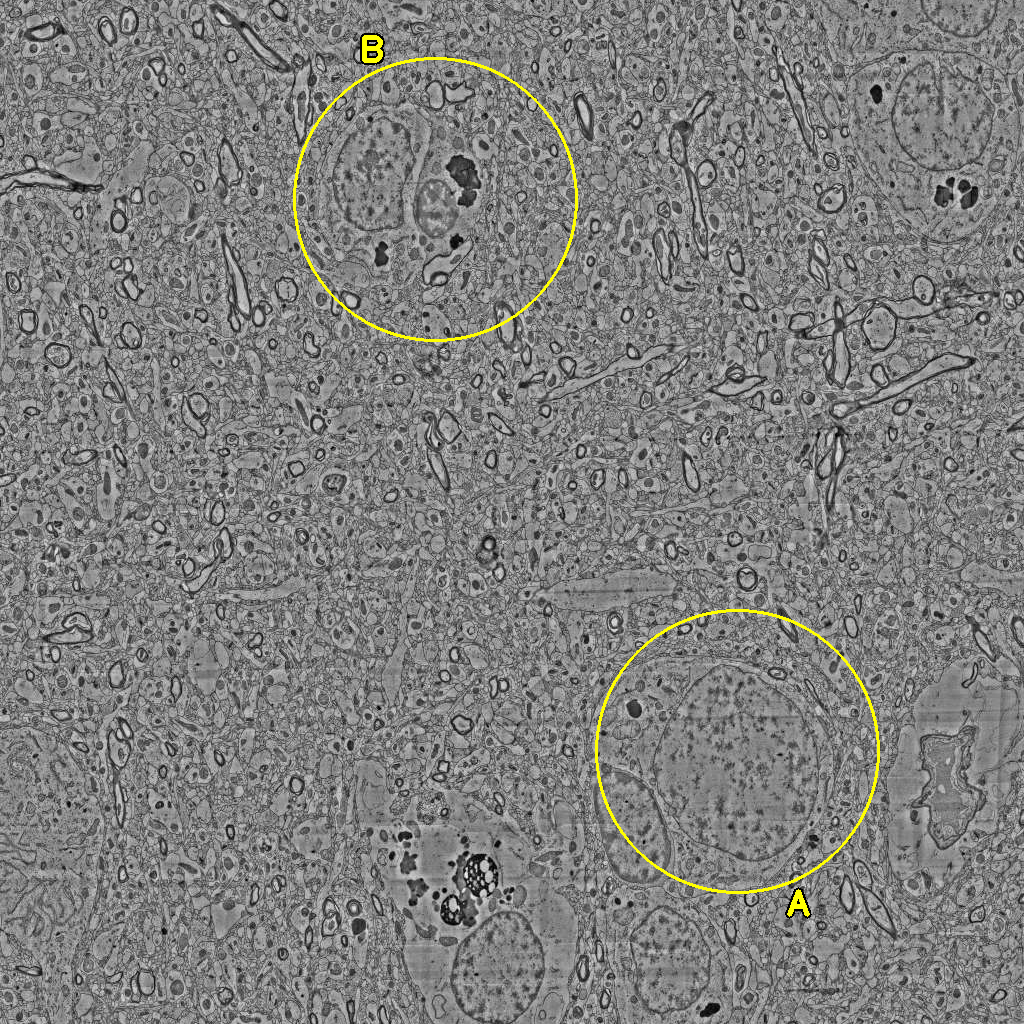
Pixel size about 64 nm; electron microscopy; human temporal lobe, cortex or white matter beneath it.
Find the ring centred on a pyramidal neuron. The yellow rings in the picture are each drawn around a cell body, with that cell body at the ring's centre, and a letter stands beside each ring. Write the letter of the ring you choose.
A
